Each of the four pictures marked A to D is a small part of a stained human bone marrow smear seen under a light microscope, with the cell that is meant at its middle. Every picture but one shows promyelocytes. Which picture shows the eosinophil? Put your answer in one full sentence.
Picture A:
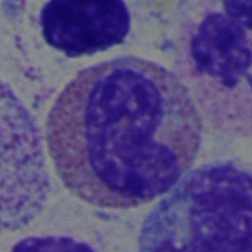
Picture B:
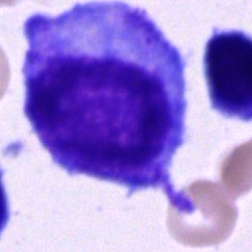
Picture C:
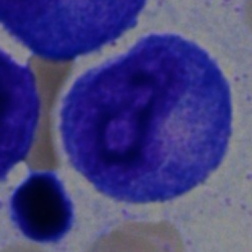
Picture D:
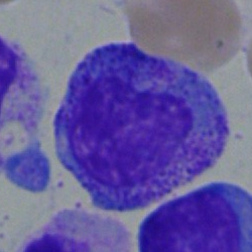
It is picture A that shows the eosinophil.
